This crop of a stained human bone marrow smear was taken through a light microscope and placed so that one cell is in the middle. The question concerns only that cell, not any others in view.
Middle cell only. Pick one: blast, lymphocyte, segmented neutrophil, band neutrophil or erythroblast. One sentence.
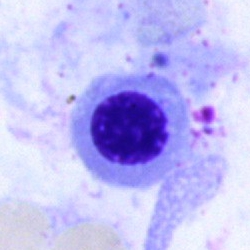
Framed in the middle of the crop is an erythroblast.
